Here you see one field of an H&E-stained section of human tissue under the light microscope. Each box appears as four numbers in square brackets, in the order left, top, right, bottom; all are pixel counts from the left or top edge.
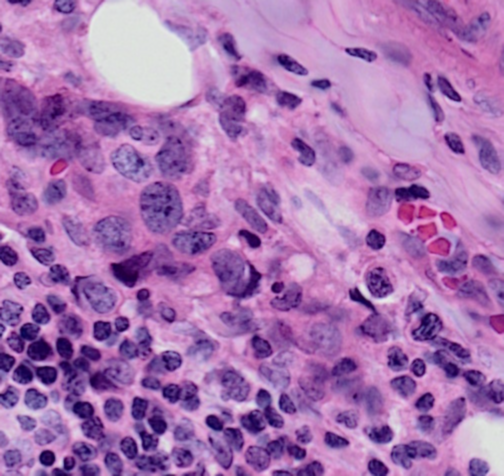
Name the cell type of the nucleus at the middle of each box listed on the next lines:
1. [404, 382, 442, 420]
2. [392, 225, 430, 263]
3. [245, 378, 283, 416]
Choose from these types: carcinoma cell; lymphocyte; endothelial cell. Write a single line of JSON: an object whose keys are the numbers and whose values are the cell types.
{"1": "lymphocyte", "2": "endothelial cell", "3": "lymphocyte"}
